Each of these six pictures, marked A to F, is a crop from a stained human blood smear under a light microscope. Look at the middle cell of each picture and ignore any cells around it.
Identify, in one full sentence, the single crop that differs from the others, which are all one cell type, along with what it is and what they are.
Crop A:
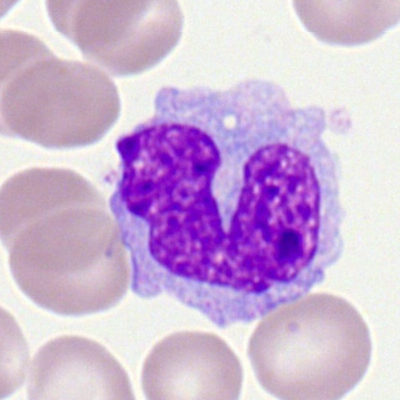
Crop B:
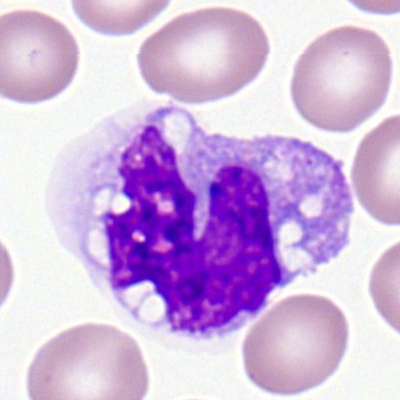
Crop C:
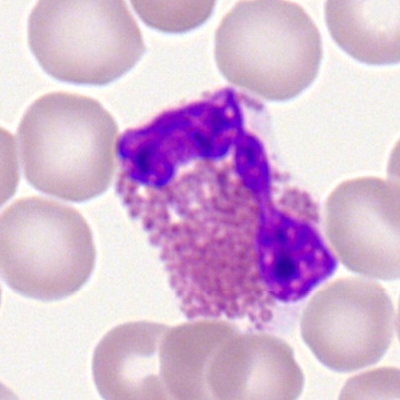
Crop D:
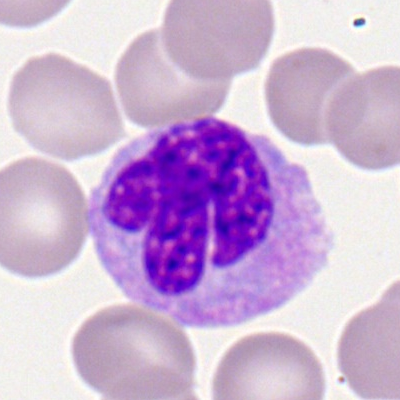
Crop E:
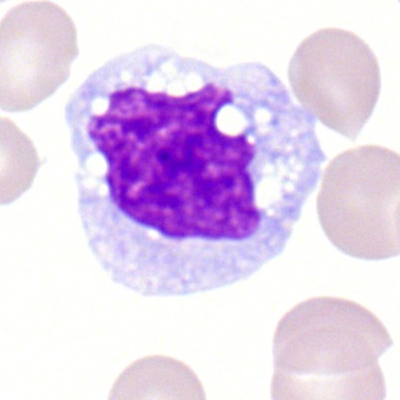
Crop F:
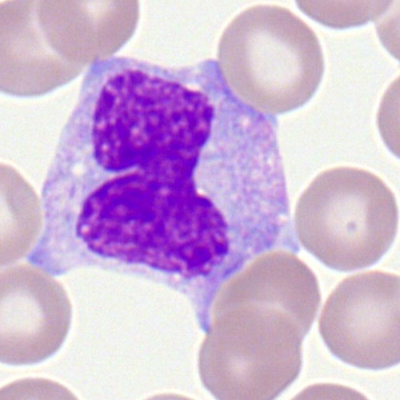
Crop C is an eosinophil, unlike the other crops, which all show monocytes.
